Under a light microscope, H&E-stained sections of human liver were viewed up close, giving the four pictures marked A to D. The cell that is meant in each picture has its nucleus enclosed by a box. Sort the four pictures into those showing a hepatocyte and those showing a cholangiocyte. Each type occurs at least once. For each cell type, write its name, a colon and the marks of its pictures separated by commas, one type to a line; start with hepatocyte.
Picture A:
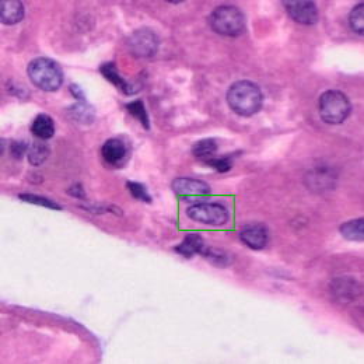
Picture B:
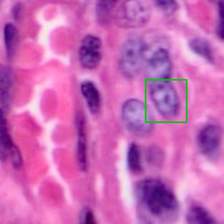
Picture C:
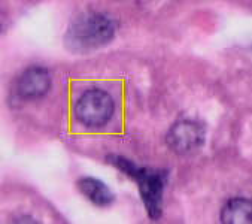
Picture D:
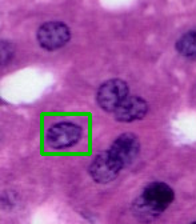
hepatocyte: C, D
cholangiocyte: A, B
